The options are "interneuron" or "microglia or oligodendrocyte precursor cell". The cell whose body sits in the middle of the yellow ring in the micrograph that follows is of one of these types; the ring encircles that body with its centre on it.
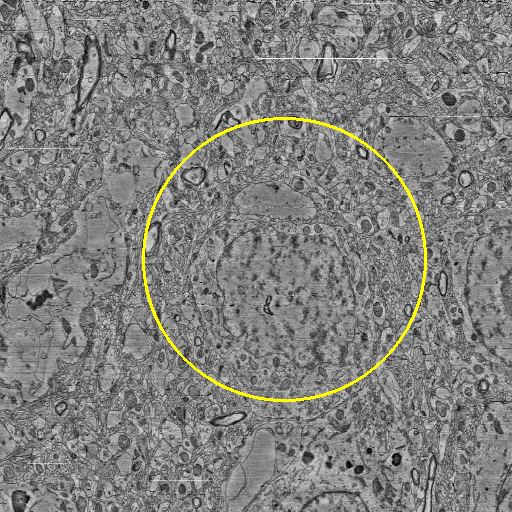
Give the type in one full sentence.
Going by the micrograph, the cell centred in the yellow ring is an interneuron.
